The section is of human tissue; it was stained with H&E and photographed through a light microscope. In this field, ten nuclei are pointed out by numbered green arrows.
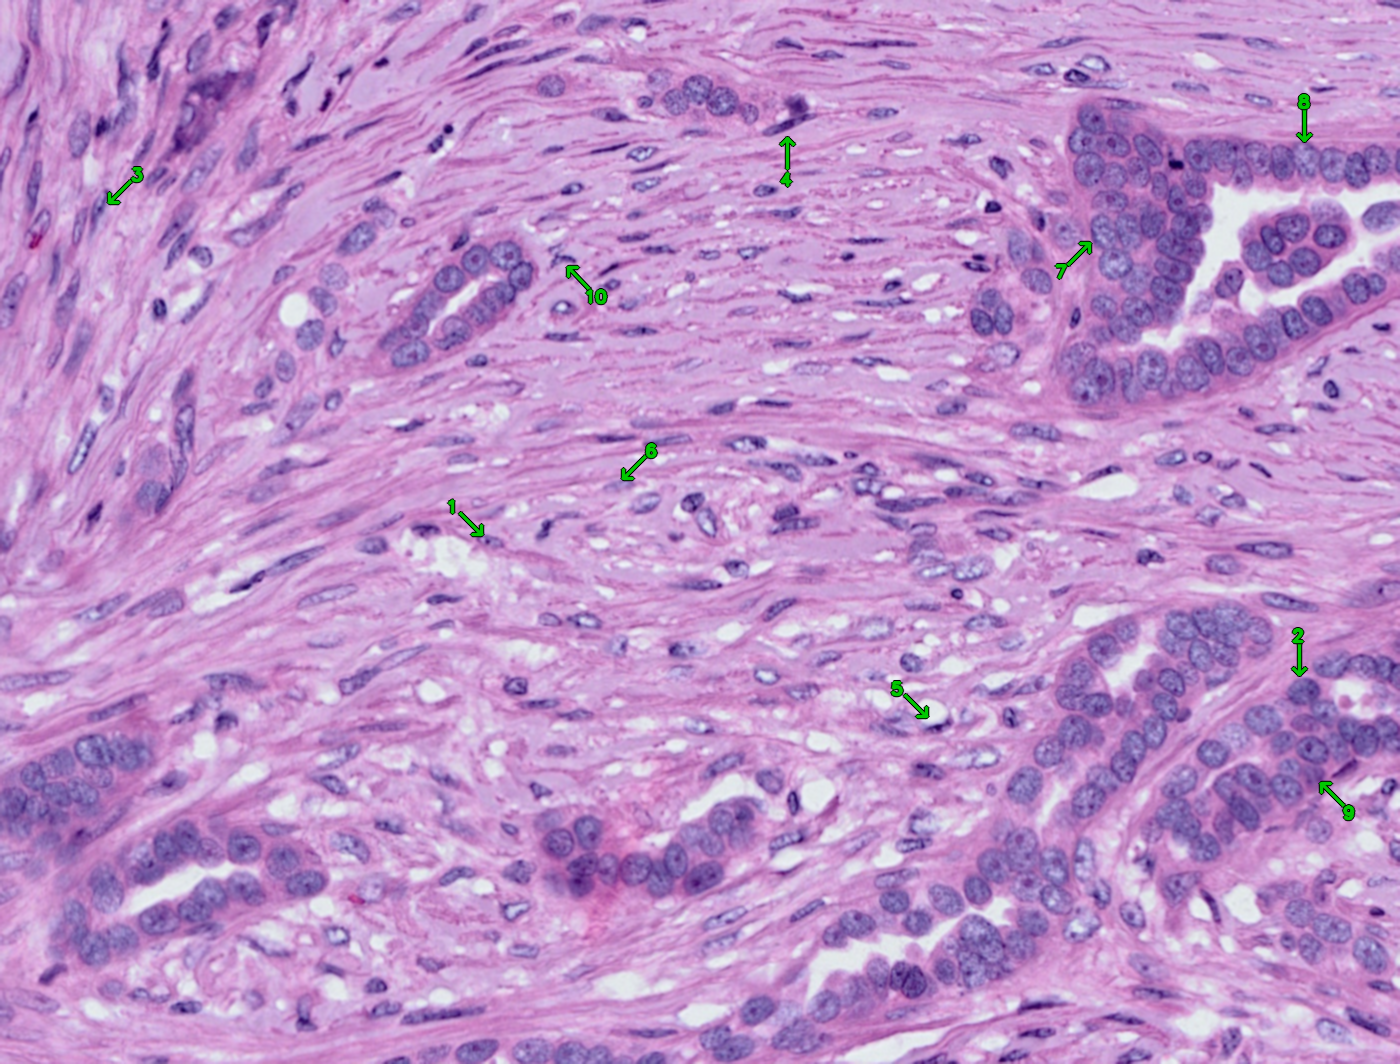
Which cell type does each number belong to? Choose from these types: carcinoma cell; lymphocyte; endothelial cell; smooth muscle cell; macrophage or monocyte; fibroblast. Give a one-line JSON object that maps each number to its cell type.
{"1": "fibroblast", "2": "carcinoma cell", "3": "fibroblast", "4": "fibroblast", "5": "fibroblast", "6": "fibroblast", "7": "carcinoma cell", "8": "carcinoma cell", "9": "carcinoma cell", "10": "fibroblast"}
